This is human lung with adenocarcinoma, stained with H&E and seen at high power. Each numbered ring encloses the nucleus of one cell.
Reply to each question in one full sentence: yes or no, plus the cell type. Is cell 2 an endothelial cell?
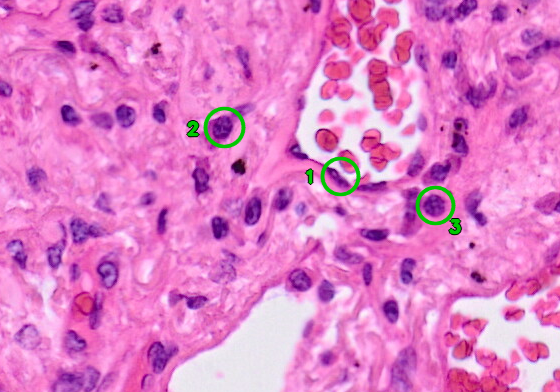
No, not an endothelial cell: the cell with number 2 is a plasma cell.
